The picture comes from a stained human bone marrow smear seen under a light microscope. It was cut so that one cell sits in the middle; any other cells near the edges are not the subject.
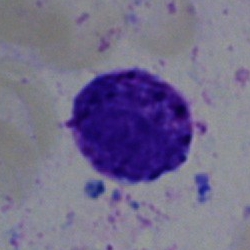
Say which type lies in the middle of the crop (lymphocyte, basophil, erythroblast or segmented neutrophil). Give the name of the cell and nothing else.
basophil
